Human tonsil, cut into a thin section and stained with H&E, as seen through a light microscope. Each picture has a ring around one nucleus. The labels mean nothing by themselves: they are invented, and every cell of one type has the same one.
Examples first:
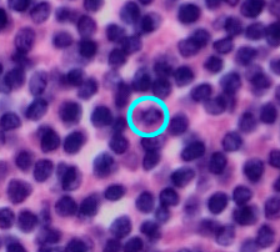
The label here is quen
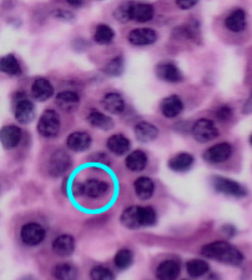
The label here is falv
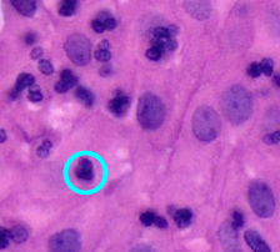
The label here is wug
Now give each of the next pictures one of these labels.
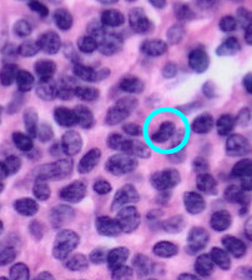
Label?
quen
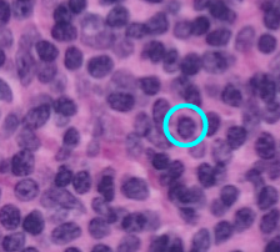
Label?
quen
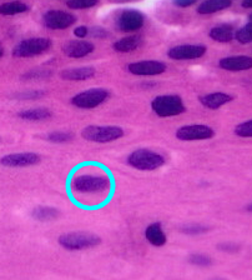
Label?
wug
